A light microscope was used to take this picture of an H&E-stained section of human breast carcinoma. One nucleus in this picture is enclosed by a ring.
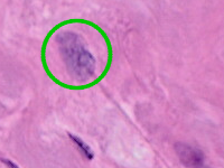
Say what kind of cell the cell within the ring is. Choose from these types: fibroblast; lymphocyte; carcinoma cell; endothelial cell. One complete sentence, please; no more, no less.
In the tissue at hand, the cell within the ring is a fibroblast.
